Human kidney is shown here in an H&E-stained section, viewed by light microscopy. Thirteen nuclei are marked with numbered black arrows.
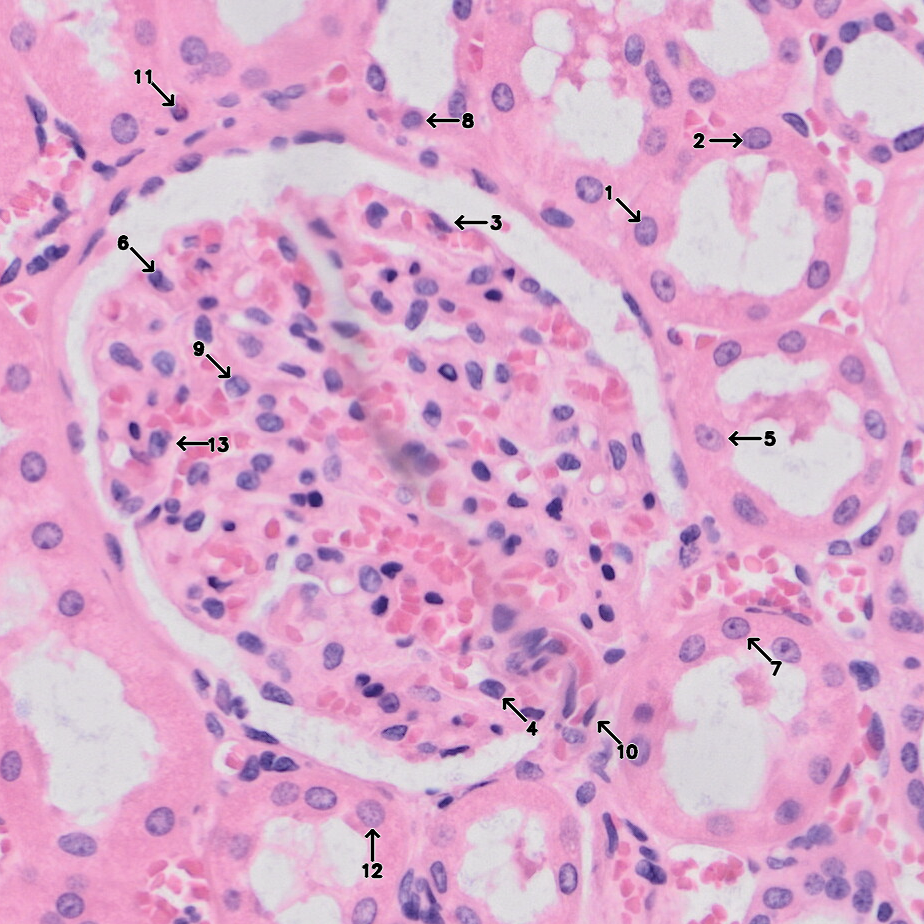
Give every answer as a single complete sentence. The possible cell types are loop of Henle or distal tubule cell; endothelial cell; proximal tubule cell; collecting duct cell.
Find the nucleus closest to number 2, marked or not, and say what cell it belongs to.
The cell nearest to number 2 is an endothelial cell.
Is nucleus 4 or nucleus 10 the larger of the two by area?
At about 2 times the area of nucleus 10, nucleus 4 is the larger of the two.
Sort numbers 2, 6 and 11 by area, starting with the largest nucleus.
Going from the biggest nucleus down to the smallest gives 2, 6, 11.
